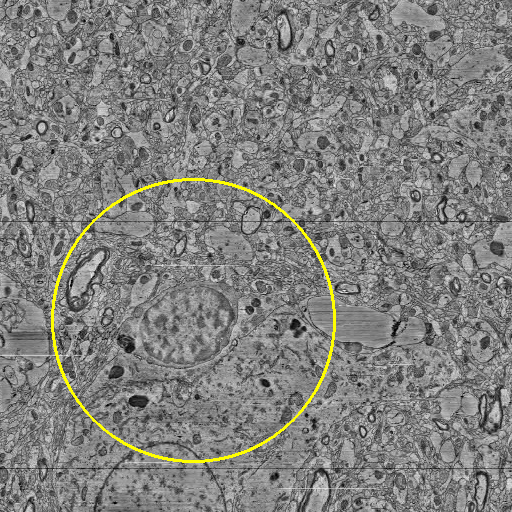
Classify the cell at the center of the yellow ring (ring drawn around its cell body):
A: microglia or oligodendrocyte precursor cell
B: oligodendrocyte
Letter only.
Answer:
B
